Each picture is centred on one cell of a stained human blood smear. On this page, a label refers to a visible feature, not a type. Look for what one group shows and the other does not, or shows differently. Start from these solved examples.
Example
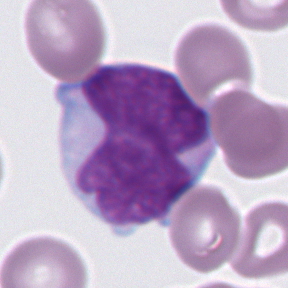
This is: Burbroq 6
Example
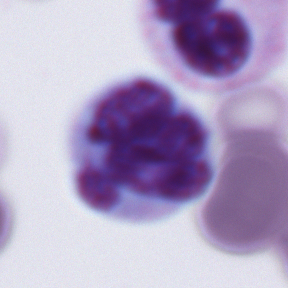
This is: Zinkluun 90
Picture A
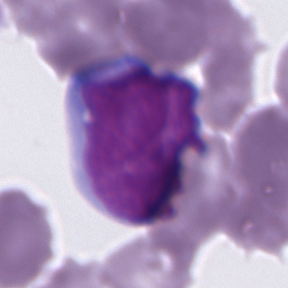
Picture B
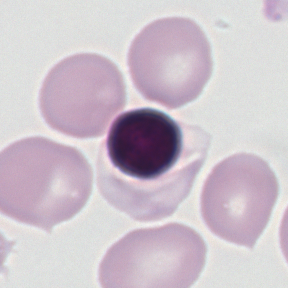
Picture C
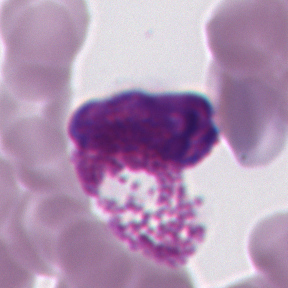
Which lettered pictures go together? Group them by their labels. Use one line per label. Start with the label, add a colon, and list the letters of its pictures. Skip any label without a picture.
Burbroq 6: A, C
Zinkluun 90: B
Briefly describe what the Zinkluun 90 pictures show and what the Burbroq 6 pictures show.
Zinkluun 90: smooth outline; Burbroq 6: ragged outline or projections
